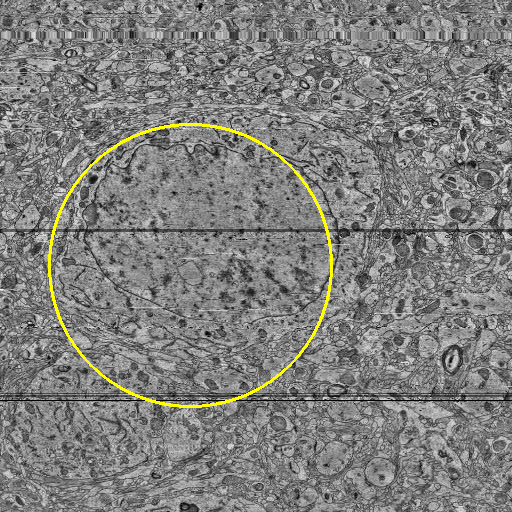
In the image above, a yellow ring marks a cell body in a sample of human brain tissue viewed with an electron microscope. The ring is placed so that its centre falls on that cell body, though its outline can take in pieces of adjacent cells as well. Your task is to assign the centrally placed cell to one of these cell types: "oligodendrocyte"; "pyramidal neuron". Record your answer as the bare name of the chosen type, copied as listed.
pyramidal neuron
